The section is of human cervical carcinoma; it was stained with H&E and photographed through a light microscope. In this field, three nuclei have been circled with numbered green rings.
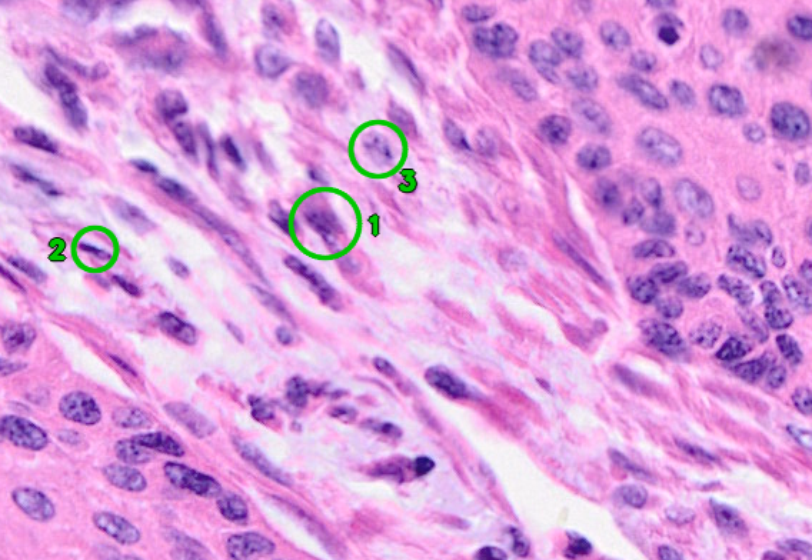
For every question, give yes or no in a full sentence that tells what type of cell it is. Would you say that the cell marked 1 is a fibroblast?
No, the cell tagged 1 is a macrophage or monocyte, and not a fibroblast.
